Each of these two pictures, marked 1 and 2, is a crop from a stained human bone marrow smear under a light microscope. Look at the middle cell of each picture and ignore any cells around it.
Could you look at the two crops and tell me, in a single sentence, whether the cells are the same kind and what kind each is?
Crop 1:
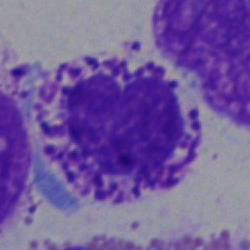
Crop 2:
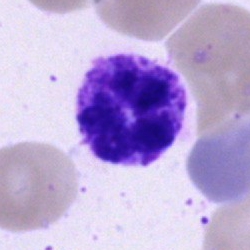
Yes, the same answer goes for both crops, namely basophils.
